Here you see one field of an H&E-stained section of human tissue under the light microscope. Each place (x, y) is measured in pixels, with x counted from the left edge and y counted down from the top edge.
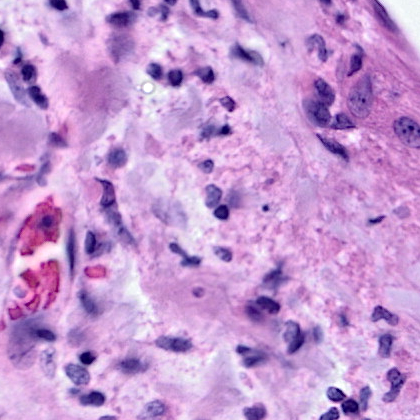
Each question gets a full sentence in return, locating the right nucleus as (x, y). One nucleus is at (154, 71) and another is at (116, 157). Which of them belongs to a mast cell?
The one at (116, 157) is the nucleus belonging to a mast cell, not the other one.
